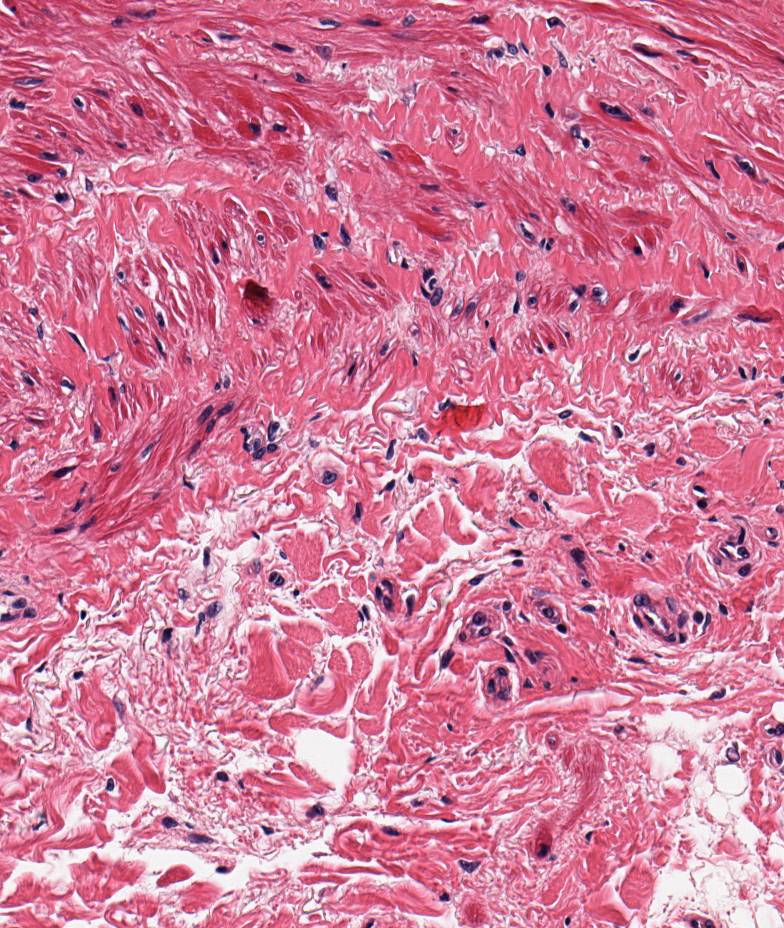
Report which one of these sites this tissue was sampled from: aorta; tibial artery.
tibial artery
